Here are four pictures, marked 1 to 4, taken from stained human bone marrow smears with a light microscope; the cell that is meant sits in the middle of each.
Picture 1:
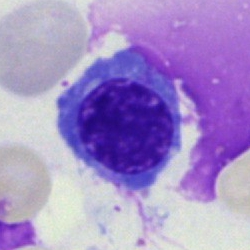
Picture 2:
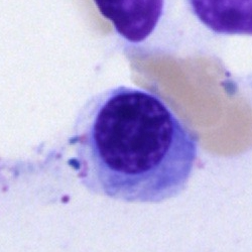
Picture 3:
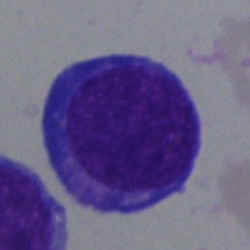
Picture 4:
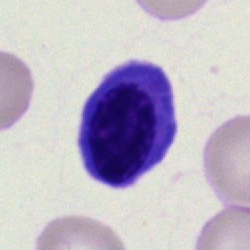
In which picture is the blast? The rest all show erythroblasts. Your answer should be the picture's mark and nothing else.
3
